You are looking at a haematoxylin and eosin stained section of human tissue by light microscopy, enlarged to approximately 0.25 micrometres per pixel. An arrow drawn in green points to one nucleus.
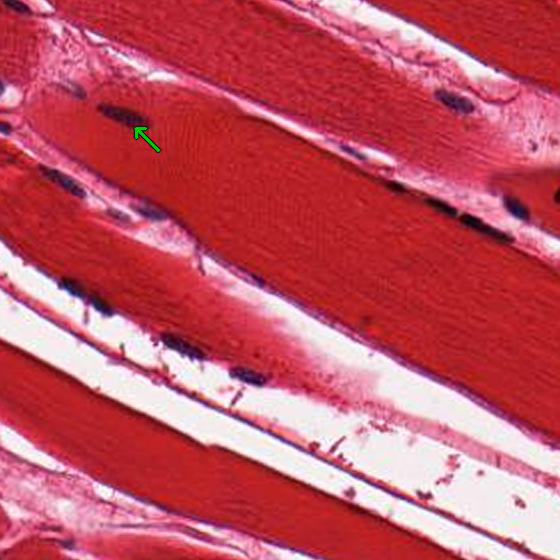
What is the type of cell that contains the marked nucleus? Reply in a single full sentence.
To a skeletal muscle fibre belongs the marked nucleus.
